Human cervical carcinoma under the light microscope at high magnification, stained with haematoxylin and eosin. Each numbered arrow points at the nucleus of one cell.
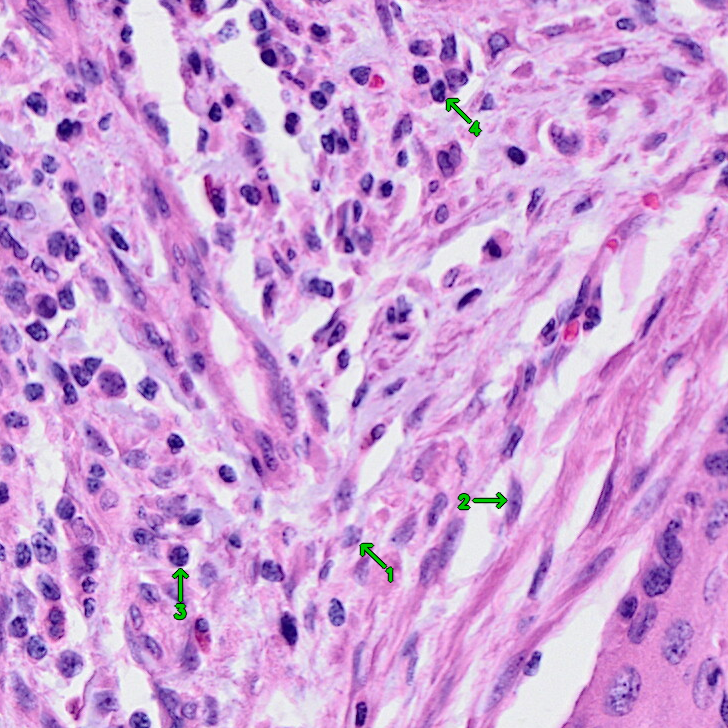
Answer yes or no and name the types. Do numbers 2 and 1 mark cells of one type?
Yes, cell 2 and cell 1 are both fibroblasts.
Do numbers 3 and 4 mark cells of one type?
Yes, cells 3 and 4 are both lymphocytes in this section.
